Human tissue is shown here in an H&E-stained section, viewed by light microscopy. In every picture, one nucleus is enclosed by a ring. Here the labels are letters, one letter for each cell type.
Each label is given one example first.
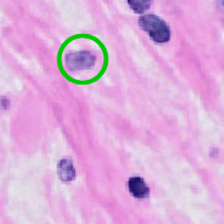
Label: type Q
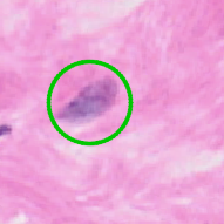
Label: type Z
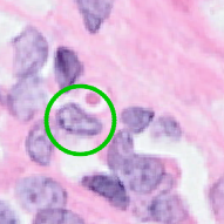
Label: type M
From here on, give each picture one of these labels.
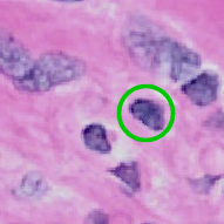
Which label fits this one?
type Q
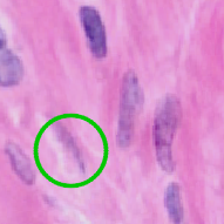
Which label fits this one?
type Z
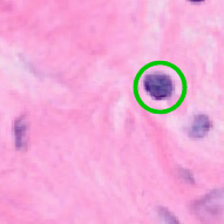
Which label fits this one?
type Q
